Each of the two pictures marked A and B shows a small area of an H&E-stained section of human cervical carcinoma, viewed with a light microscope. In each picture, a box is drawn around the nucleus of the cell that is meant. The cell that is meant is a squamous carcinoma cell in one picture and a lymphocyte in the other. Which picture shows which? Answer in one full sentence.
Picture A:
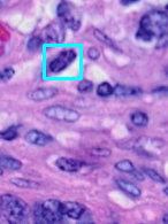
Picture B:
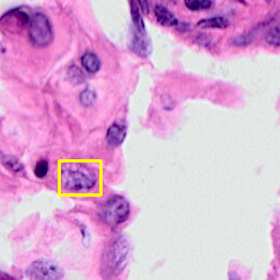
Picture B shows a squamous carcinoma cell, while picture A shows a lymphocyte.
